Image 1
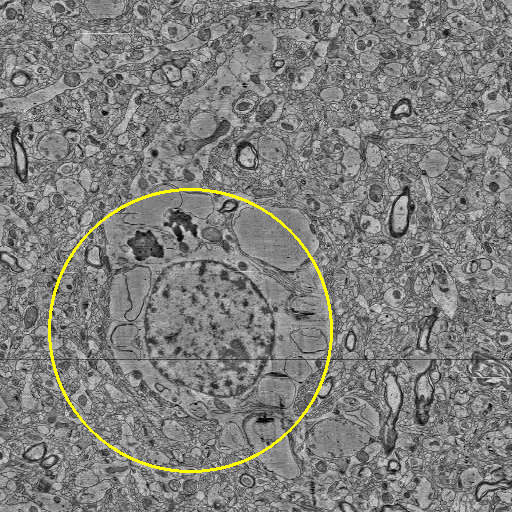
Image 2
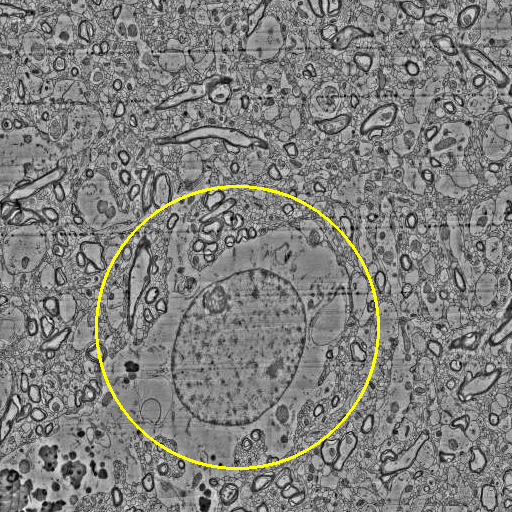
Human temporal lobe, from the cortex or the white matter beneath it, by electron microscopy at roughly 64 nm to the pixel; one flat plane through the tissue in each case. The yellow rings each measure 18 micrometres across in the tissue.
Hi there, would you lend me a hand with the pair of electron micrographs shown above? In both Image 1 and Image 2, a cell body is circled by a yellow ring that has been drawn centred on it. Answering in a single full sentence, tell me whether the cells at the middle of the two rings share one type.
Yes, the ringed cells in Image 1 and Image 2 share one type.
